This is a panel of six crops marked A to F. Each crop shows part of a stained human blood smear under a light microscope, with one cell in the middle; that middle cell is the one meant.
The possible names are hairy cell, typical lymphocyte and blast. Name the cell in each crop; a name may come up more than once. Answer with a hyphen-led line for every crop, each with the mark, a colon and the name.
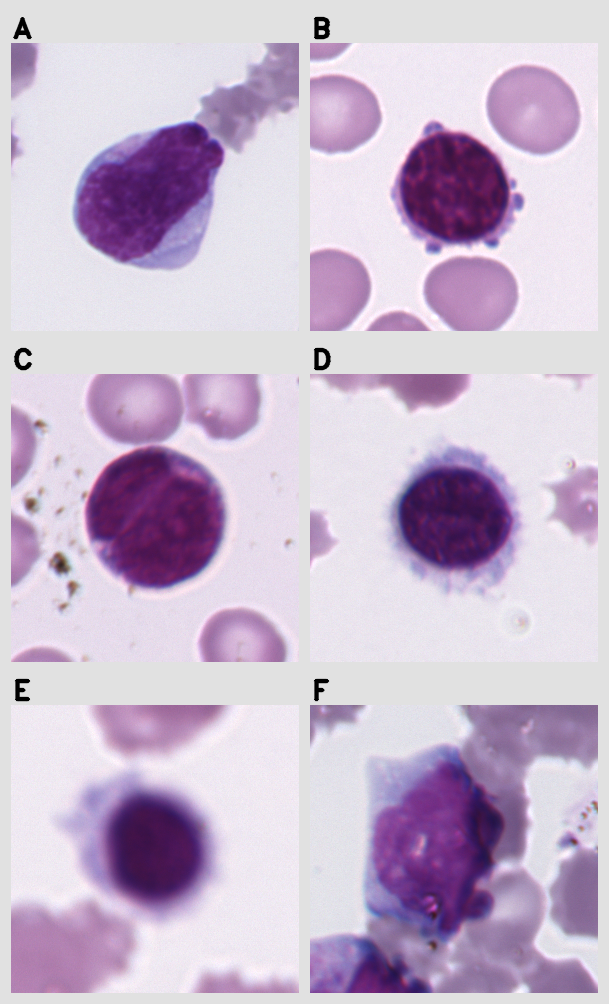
- A: blast
- B: typical lymphocyte
- C: blast
- D: hairy cell
- E: hairy cell
- F: blast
